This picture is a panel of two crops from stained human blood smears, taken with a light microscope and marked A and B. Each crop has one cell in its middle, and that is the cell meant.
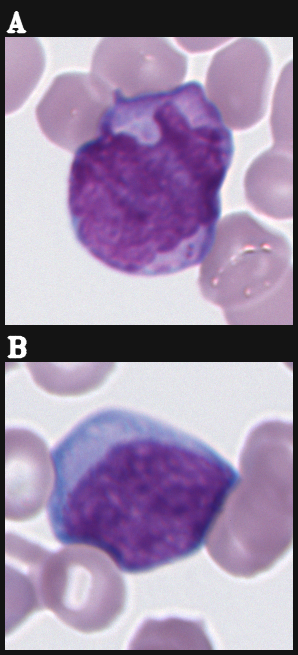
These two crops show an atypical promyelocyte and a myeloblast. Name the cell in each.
A: atypical promyelocyte
B: myeloblast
